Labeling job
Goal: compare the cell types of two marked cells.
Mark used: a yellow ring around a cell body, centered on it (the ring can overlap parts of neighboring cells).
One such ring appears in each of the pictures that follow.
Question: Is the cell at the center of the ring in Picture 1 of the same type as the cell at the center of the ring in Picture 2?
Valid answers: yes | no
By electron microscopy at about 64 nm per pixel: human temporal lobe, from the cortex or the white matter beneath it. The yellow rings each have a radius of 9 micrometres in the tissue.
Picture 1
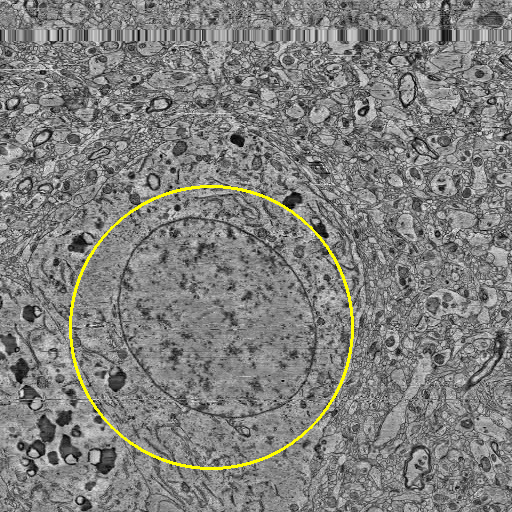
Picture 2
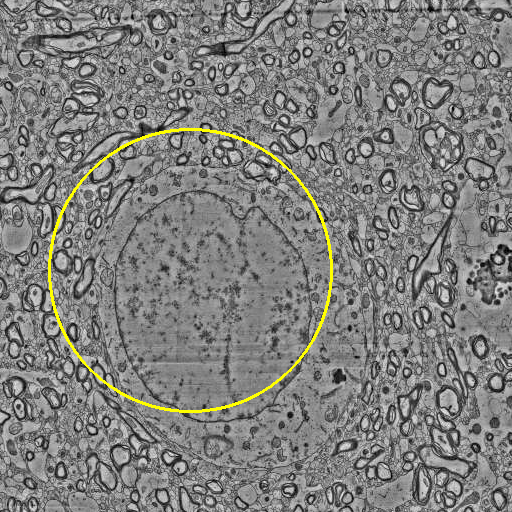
yes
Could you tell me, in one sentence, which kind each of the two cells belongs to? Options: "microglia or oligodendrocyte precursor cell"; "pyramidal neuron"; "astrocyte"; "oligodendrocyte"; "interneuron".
Each cell at the centre of a ring is a pyramidal neuron.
